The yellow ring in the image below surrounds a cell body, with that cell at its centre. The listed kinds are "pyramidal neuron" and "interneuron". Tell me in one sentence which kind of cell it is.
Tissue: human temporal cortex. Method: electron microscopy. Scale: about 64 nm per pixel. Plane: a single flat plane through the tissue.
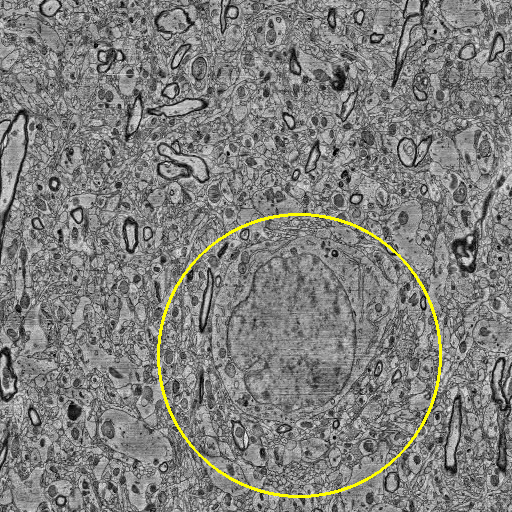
The centre of the ring holds an interneuron.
